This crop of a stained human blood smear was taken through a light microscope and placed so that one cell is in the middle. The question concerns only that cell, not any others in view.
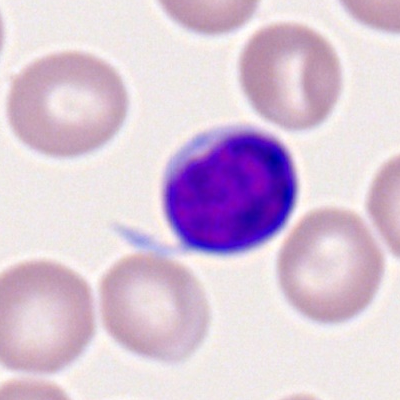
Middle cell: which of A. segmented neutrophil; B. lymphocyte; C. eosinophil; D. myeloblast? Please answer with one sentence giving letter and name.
In the middle of the crop is a lymphocyte; option B is therefore correct.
